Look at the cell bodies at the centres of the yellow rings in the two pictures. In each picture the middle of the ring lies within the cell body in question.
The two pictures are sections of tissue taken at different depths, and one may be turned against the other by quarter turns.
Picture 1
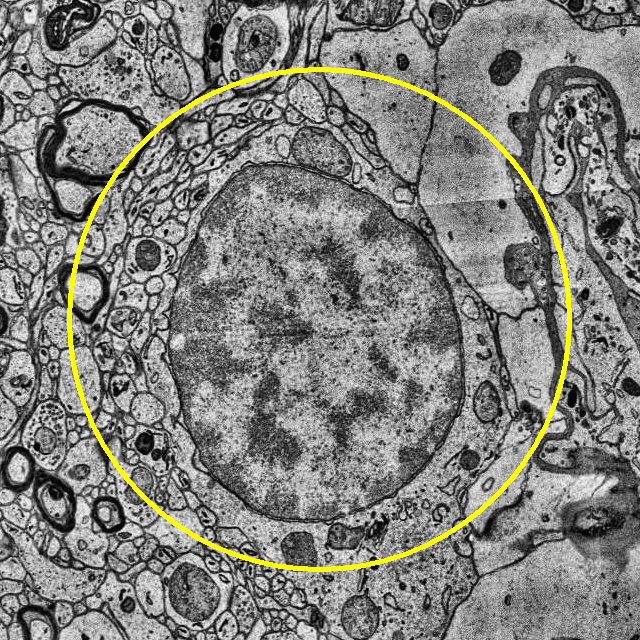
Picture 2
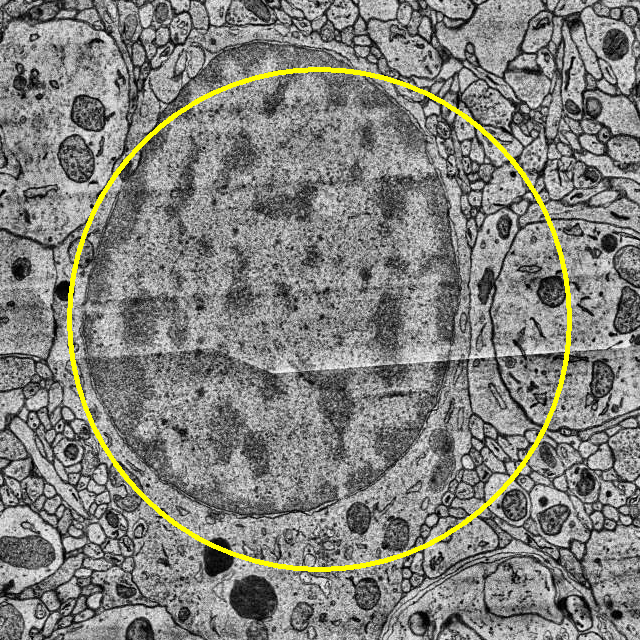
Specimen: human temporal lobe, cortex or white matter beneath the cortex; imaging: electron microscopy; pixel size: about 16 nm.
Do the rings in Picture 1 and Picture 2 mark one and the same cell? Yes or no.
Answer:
no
